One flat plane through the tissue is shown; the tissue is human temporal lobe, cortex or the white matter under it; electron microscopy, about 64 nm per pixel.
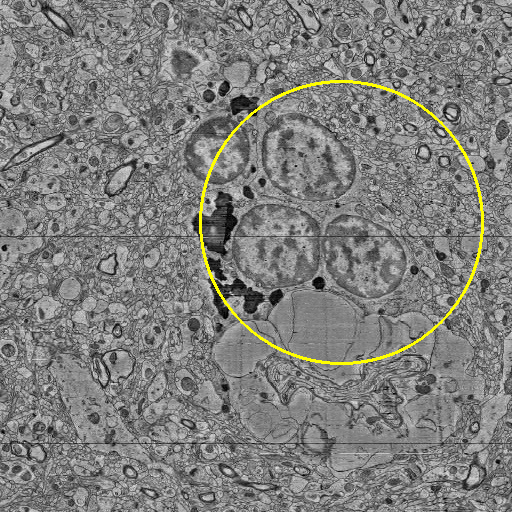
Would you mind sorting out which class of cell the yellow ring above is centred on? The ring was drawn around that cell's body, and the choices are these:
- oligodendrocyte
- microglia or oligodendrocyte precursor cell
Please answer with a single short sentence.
This is the cell body of an oligodendrocyte.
